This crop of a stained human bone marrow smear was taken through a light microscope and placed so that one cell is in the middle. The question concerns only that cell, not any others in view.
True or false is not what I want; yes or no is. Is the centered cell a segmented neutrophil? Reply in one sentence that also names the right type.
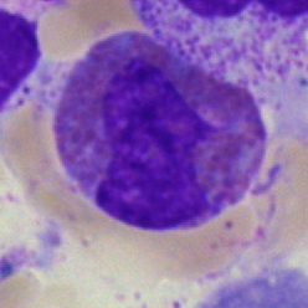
No, the cell in the middle of the crop counts as an eosinophil and not as a segmented neutrophil.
